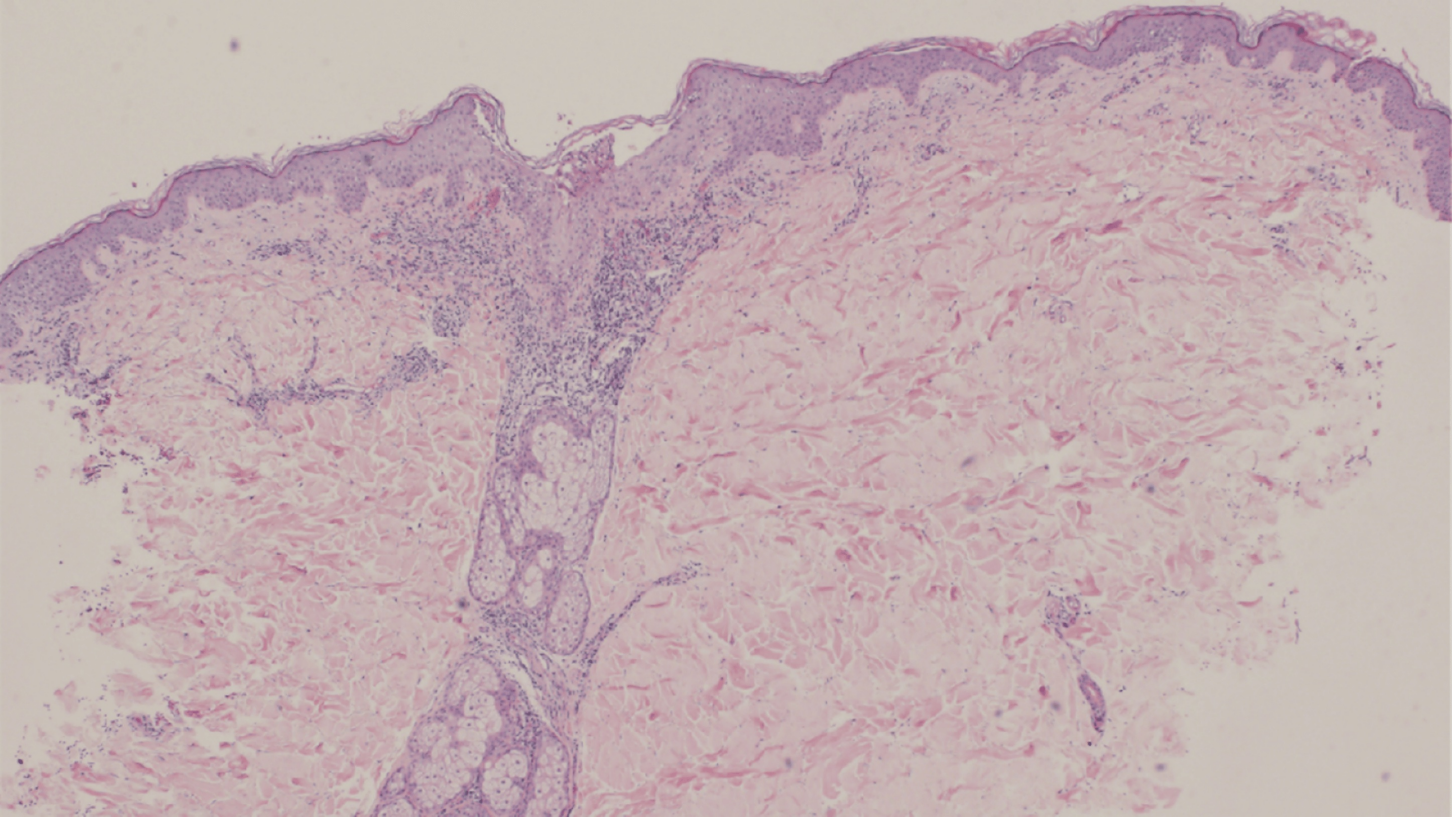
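This is skin at low power, with a thin purple-staining epidermis along the top and a broad pink collagenous dermis below it. In the upper dermis, especially around a central follicle-like structure running downward, there is a dense infiltrate of small cells with dark round nuclei. Along this structure lie lobules of pale, finely vacuolated cells with a darker rim.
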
